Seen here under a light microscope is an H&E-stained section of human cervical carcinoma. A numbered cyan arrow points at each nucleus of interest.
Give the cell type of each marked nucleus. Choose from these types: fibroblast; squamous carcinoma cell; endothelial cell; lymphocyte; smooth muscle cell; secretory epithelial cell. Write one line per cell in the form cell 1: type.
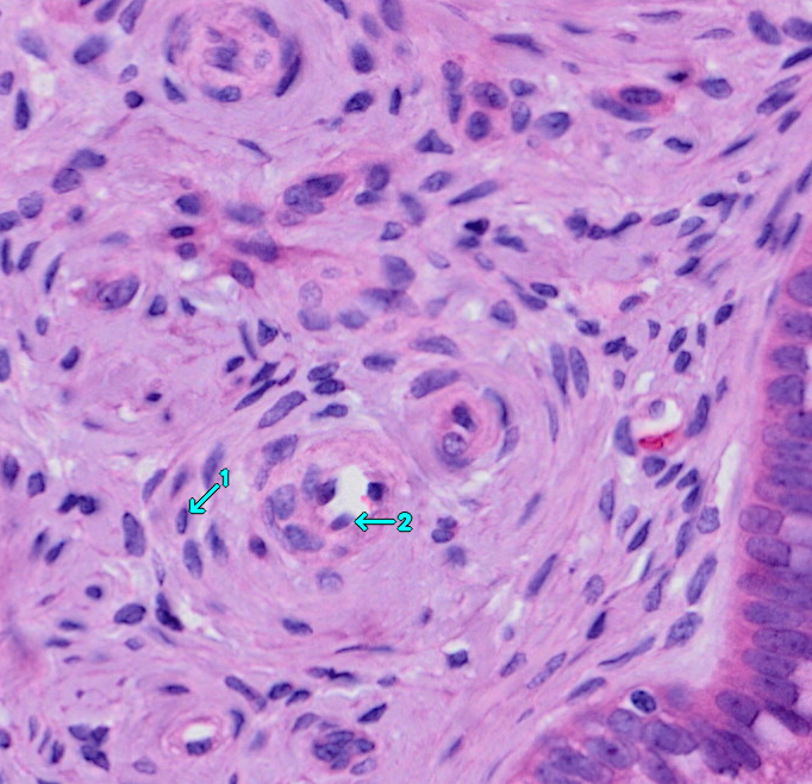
cell 1: fibroblast
cell 2: endothelial cell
